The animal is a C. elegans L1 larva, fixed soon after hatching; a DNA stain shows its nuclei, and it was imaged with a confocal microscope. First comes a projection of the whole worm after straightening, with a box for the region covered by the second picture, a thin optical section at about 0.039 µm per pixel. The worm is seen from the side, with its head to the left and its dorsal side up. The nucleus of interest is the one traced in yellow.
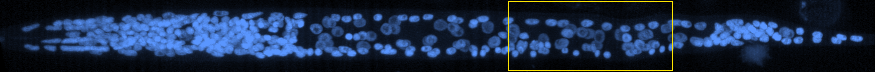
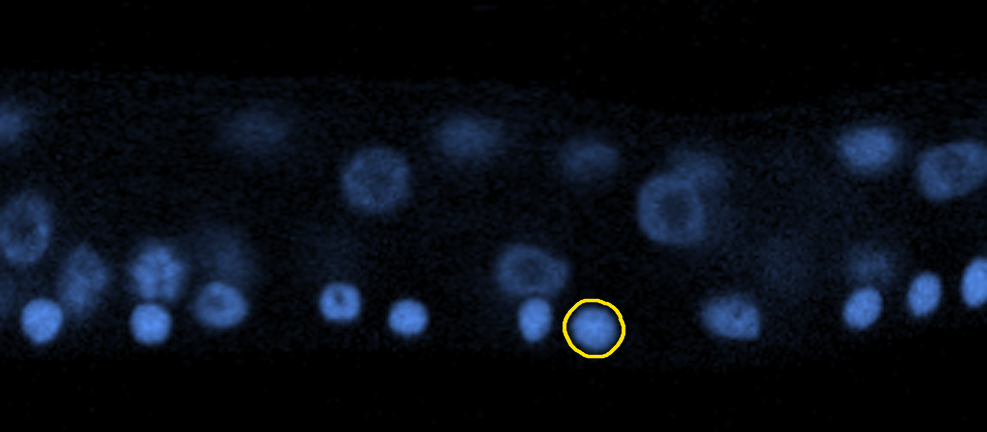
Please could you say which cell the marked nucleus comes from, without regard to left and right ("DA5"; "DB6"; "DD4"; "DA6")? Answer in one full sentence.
This is the nucleus of DA6, a neuron.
